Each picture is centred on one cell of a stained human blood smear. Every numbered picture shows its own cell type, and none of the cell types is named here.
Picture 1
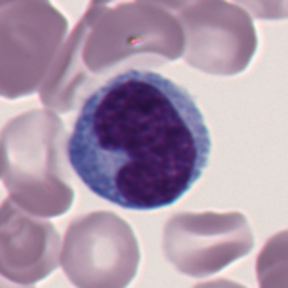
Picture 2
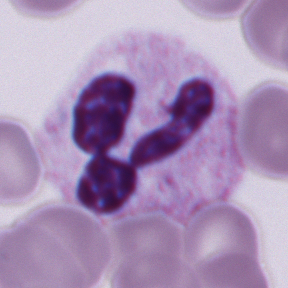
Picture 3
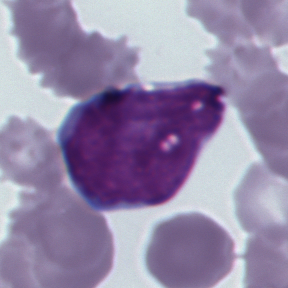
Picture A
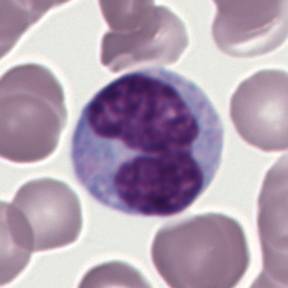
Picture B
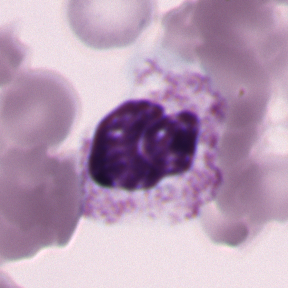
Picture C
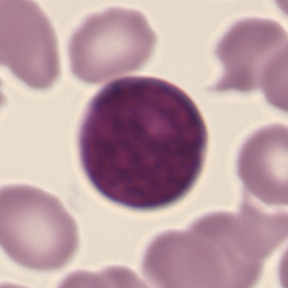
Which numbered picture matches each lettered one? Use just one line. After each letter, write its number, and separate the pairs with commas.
A 1, B 2, C 3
